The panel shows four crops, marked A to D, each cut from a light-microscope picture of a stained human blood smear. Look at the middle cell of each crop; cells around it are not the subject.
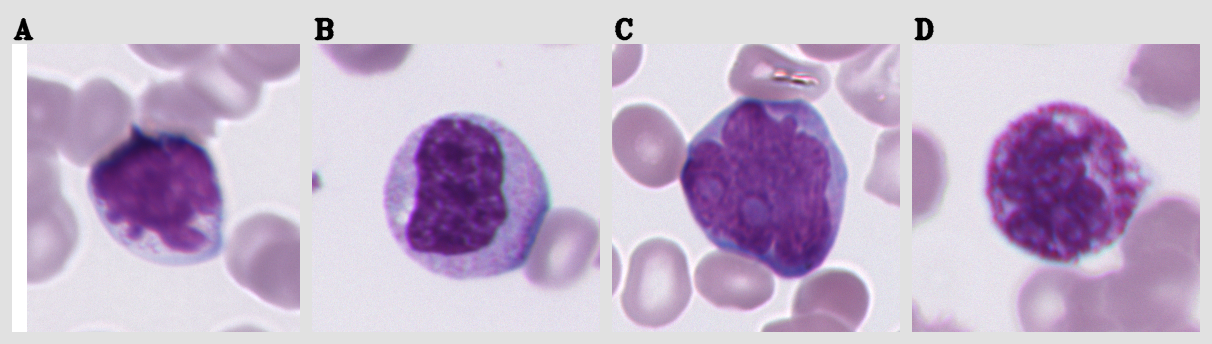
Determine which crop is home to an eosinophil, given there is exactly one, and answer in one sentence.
As for which crop shows an eosinophil, it is crop D.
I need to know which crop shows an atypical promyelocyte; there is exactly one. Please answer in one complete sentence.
Crop C is the one in the set with an atypical promyelocyte at the center.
